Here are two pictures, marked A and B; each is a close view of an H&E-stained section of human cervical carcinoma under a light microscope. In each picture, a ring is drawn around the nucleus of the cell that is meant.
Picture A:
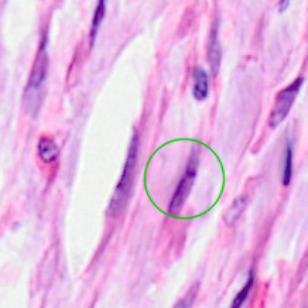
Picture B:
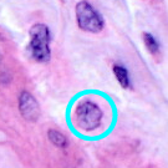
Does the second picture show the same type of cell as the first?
no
